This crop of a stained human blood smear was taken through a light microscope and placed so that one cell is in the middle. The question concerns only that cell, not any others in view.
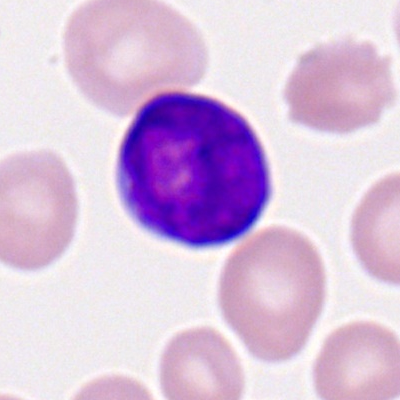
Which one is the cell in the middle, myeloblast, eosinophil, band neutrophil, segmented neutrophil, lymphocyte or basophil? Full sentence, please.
The cell the crop is centered on is a myeloblast.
